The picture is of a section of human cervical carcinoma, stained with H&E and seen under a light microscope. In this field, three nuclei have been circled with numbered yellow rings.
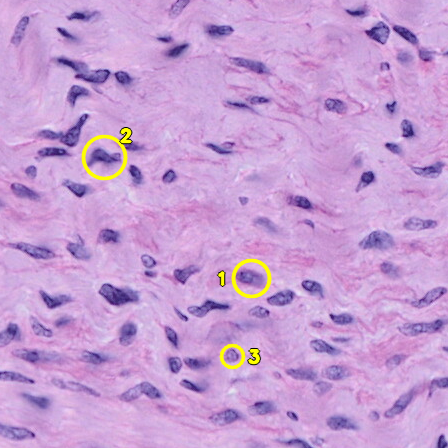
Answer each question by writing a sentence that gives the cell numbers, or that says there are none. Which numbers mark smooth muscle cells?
The cells 1 and 3 in this section are smooth muscle cells.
